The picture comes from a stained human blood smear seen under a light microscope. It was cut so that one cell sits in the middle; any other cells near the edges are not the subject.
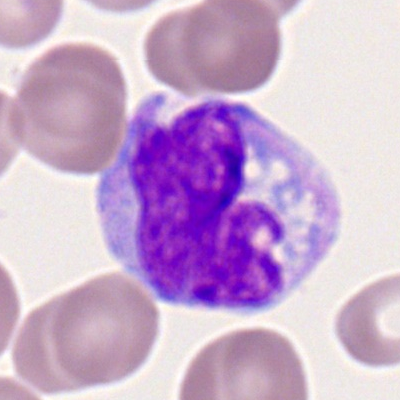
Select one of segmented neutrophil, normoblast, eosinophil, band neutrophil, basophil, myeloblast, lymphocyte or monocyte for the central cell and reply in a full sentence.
The cell at the central position in this crop is a monocyte.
